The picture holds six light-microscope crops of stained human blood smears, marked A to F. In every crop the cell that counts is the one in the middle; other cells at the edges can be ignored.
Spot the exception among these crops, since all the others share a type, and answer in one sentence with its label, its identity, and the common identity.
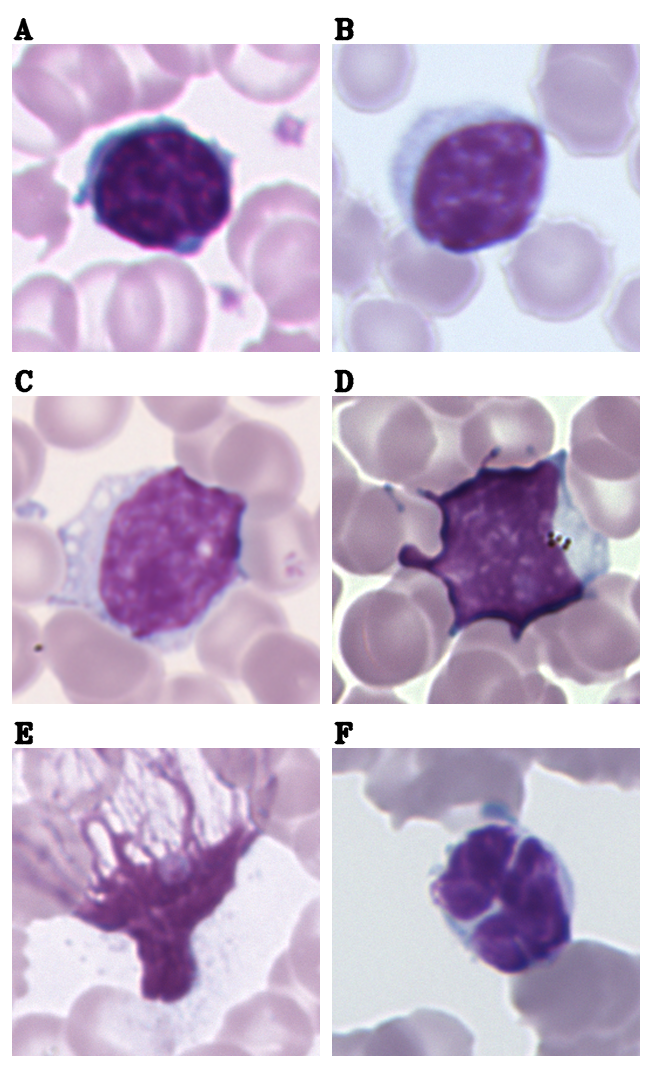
As the exception to the typical lymphocytes in the other crops, crop E shows a smudge cell.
